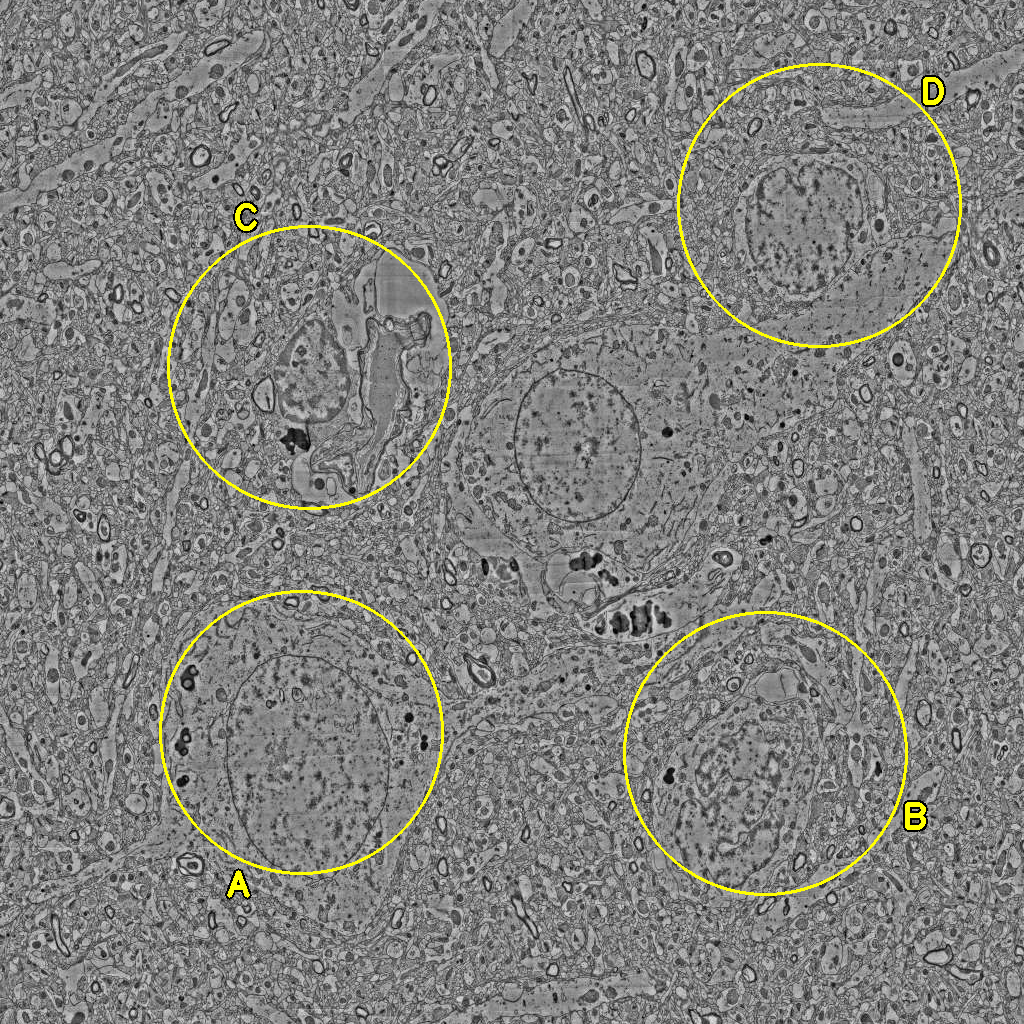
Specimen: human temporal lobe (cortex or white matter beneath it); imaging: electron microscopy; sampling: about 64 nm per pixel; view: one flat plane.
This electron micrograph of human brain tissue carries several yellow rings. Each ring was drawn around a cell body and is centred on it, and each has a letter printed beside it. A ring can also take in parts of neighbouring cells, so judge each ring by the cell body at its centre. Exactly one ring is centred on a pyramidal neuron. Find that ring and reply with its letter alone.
A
